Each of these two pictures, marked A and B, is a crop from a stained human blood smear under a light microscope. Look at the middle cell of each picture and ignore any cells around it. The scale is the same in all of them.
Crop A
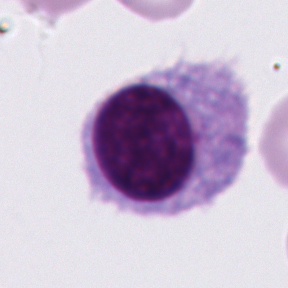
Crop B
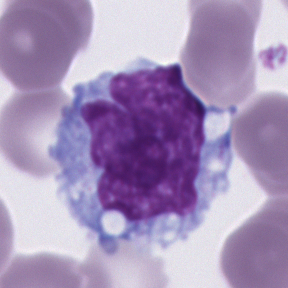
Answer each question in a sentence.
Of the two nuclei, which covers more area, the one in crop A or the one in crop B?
The nucleus in crop B is larger, with about 1.5 times the area of the one in crop A.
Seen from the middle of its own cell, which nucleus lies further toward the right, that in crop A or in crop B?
It is the nucleus in crop B that lies further toward the right of its cell.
